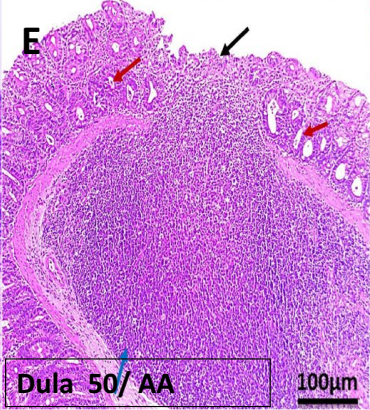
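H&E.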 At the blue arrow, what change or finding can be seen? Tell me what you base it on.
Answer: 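Heavy inflammation. A large rounded mass of densely packed small dark nuclei lies under the mucosa. The arrow points to the edge of this mass.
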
